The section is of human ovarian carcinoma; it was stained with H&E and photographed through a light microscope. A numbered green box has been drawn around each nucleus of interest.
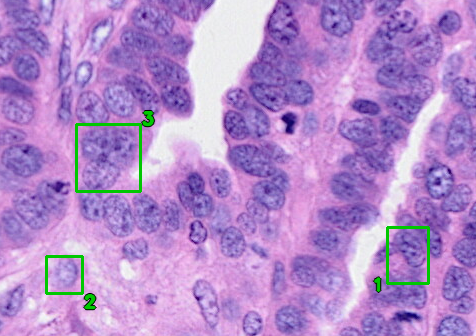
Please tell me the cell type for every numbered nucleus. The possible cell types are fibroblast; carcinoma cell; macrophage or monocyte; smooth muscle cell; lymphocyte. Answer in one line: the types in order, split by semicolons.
carcinoma cell; fibroblast; carcinoma cell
